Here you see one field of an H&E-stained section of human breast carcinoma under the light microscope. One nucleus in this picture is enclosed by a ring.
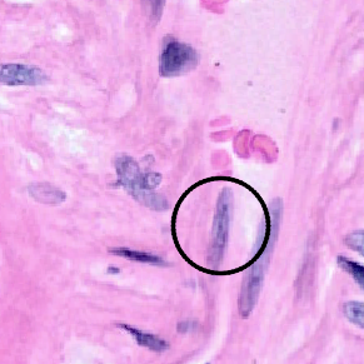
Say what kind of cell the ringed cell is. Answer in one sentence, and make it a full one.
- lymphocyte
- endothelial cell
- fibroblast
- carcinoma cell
In this tissue section, the ringed cell is to be classed as an endothelial cell.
